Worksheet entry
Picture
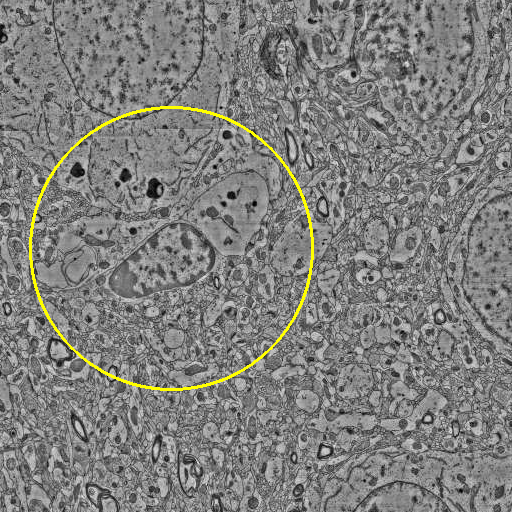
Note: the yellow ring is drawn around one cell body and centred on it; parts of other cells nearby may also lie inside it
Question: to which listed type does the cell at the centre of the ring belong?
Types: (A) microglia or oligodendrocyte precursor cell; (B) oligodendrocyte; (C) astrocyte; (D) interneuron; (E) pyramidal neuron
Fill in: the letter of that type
A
